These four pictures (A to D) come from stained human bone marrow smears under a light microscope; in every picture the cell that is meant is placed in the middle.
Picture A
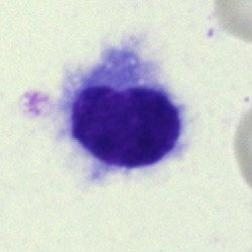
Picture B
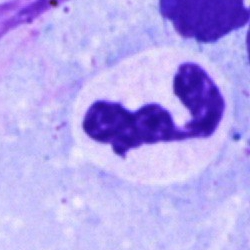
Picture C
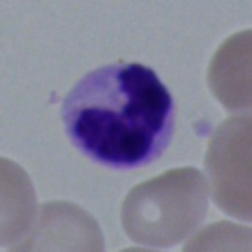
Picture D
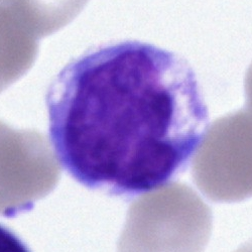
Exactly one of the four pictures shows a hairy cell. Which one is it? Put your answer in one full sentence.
Picture A shows the hairy cell.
